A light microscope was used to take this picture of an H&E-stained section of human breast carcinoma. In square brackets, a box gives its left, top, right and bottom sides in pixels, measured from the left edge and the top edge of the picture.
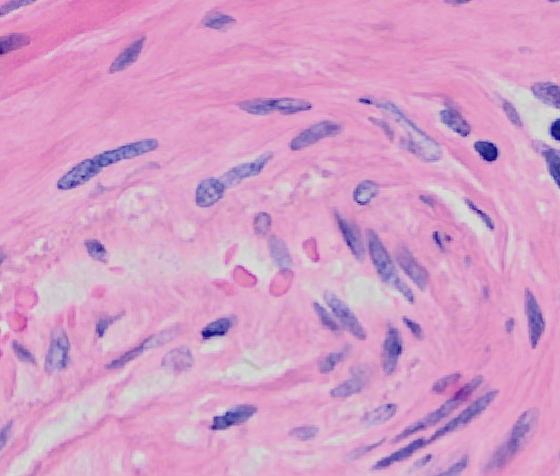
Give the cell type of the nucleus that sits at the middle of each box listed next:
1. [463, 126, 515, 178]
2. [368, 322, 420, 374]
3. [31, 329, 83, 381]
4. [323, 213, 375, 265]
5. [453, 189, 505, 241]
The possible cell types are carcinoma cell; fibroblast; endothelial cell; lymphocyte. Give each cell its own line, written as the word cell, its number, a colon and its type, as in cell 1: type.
cell 1: lymphocyte
cell 2: endothelial cell
cell 3: endothelial cell
cell 4: endothelial cell
cell 5: fibroblast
